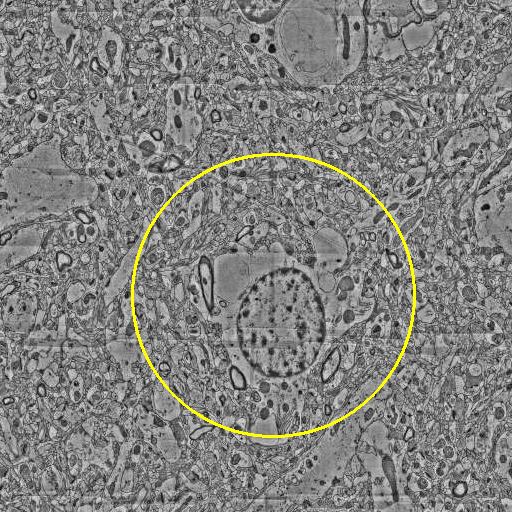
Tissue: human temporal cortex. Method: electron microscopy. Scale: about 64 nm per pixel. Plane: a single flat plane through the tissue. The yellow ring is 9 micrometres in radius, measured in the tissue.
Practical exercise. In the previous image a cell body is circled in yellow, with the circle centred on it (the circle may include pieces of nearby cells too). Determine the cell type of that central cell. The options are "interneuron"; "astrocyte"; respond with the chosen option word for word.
astrocyte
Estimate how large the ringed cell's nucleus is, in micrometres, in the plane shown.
In this plane, about 7 micrometres in length and 6 in width.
